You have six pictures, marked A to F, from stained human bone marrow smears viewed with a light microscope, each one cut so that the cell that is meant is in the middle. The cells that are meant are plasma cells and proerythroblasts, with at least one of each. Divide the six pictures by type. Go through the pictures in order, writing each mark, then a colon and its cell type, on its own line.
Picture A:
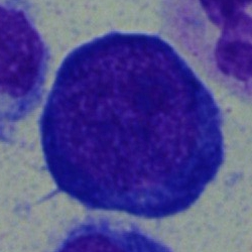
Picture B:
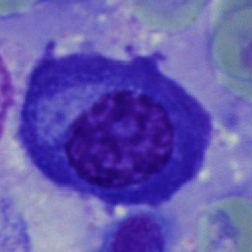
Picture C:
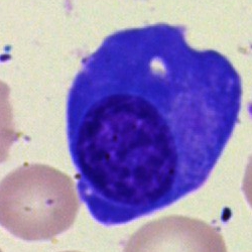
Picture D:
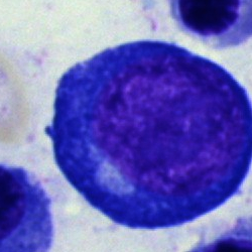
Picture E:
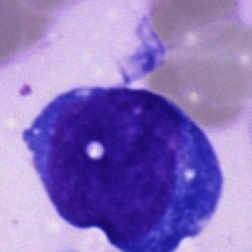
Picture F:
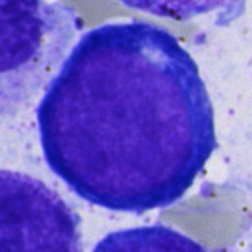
A: proerythroblast
B: plasma cell
C: plasma cell
D: proerythroblast
E: proerythroblast
F: proerythroblast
